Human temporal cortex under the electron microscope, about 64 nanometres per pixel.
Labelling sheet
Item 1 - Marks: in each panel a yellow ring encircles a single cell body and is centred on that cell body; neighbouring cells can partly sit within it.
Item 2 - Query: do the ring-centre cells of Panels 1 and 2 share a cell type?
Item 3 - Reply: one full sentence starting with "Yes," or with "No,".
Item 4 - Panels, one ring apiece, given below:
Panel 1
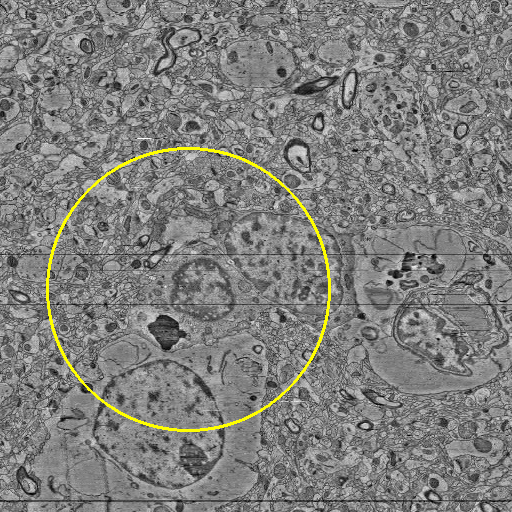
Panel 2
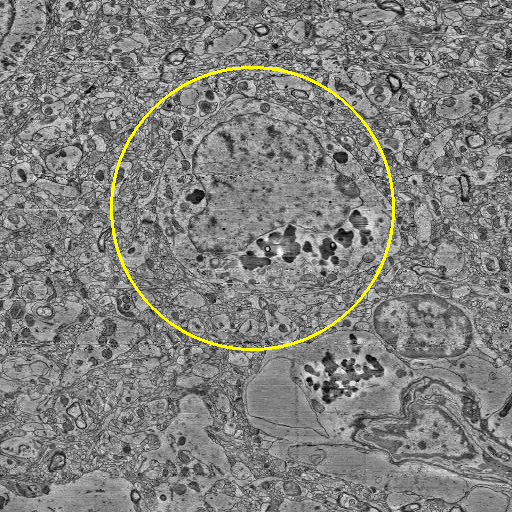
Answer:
No, Panel 1 and Panel 2 show two cell types at the centres of their rings.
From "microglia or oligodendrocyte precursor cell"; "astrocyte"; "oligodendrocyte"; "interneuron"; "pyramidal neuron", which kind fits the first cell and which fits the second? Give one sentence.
The cell marked in the first picture is an oligodendrocyte, and the one marked in the second is an interneuron.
